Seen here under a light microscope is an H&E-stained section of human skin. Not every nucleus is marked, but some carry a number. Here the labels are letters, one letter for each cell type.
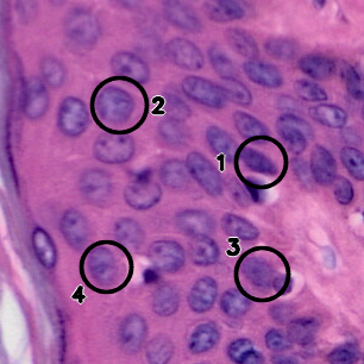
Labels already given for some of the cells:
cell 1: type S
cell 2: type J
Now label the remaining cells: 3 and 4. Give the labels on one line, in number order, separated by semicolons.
type S; type J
